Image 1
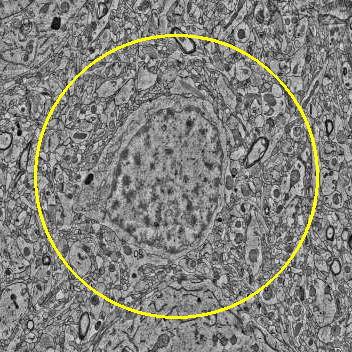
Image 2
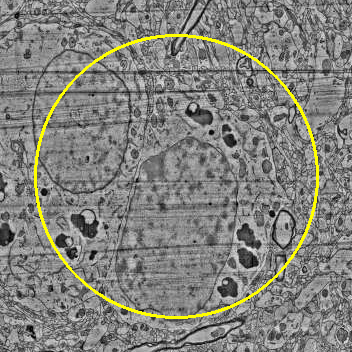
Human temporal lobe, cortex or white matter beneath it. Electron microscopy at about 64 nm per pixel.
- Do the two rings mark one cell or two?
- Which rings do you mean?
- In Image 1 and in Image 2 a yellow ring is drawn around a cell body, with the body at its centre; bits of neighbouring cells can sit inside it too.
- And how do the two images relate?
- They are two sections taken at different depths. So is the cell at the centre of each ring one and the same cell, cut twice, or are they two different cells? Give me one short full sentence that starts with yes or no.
No, the rings do not mark the same cell.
